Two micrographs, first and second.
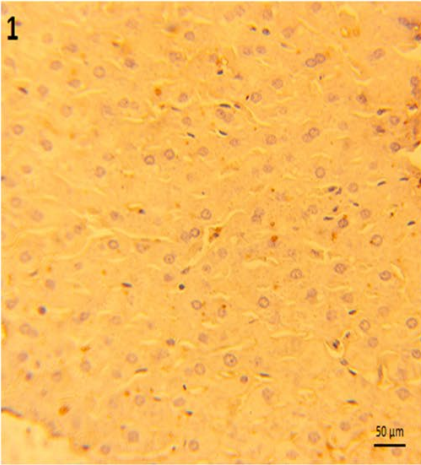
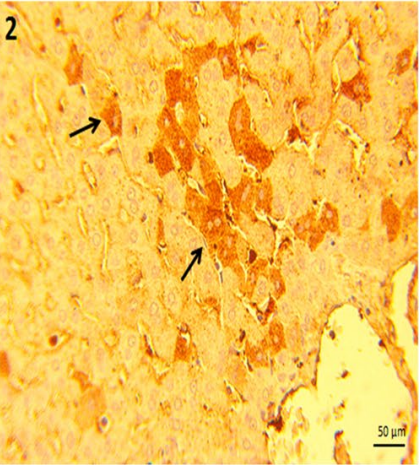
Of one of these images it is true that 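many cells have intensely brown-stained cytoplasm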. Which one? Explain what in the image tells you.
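Second image: numerous scattered and clustered cells with dark brown cytoplasm. First image: uniformly pale tan tissue with no darkly stained cells. So: the second image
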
